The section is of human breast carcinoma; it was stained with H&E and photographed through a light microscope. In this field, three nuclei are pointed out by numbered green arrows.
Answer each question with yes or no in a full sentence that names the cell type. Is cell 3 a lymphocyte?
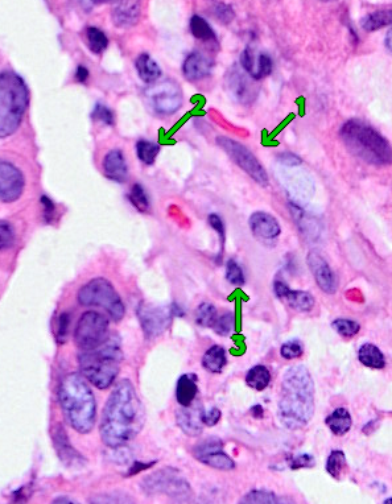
Yes, the cell whose nucleus carries number 3 is a lymphocyte.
